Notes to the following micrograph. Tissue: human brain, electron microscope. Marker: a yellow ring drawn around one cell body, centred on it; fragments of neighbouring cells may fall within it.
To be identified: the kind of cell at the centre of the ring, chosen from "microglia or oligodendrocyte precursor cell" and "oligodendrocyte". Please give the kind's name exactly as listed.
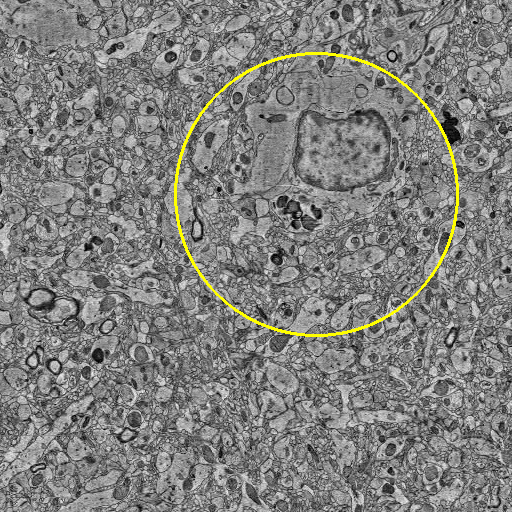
microglia or oligodendrocyte precursor cell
